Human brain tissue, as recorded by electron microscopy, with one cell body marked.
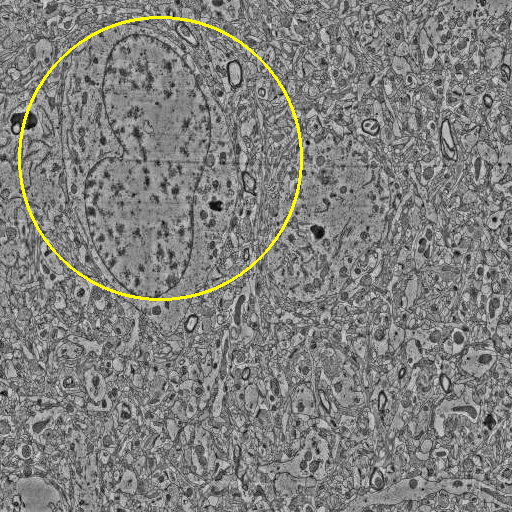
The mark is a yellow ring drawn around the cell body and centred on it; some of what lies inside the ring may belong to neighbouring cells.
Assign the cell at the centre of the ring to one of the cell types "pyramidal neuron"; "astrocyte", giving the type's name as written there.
pyramidal neuron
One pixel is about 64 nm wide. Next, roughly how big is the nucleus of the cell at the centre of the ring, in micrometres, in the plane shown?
Roughly 9 by 7 micrometres is the size of the nucleus in this plane.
